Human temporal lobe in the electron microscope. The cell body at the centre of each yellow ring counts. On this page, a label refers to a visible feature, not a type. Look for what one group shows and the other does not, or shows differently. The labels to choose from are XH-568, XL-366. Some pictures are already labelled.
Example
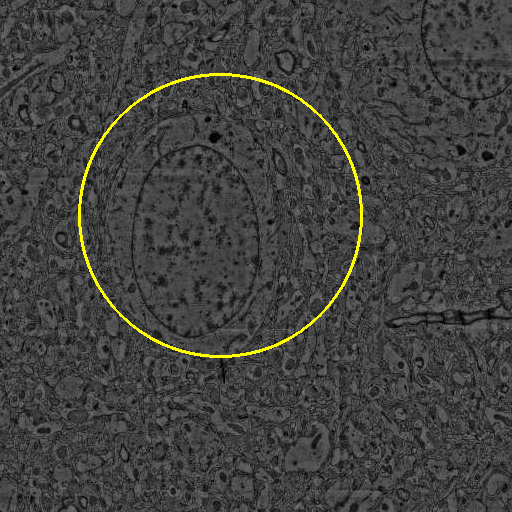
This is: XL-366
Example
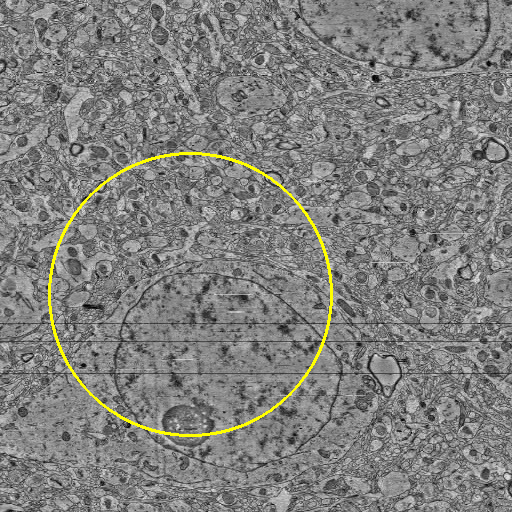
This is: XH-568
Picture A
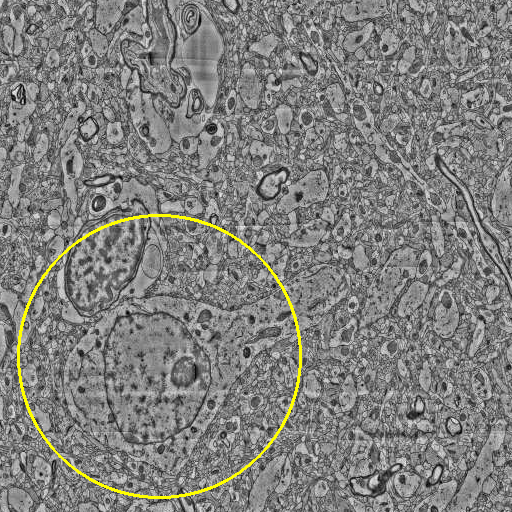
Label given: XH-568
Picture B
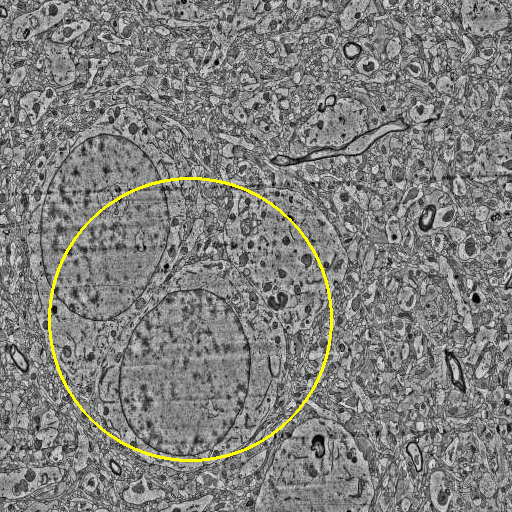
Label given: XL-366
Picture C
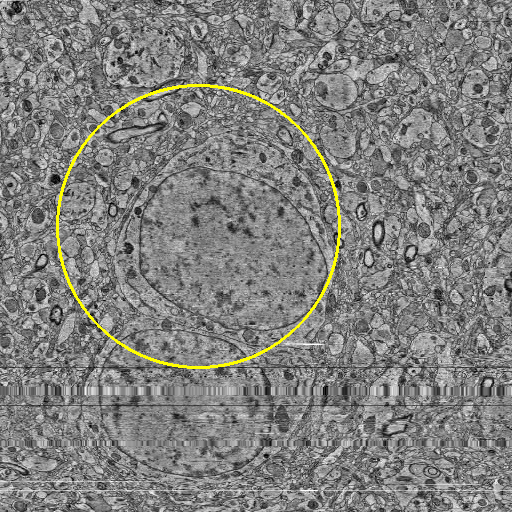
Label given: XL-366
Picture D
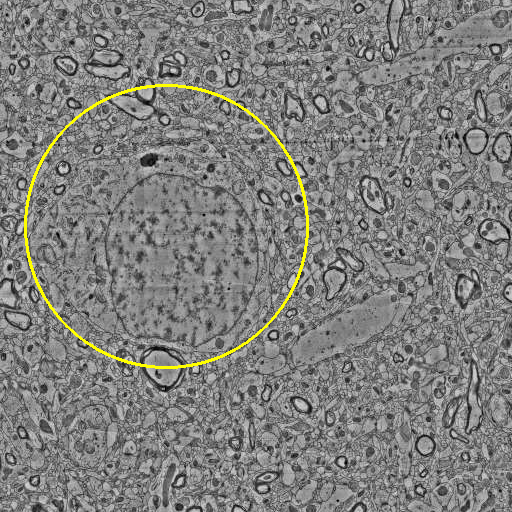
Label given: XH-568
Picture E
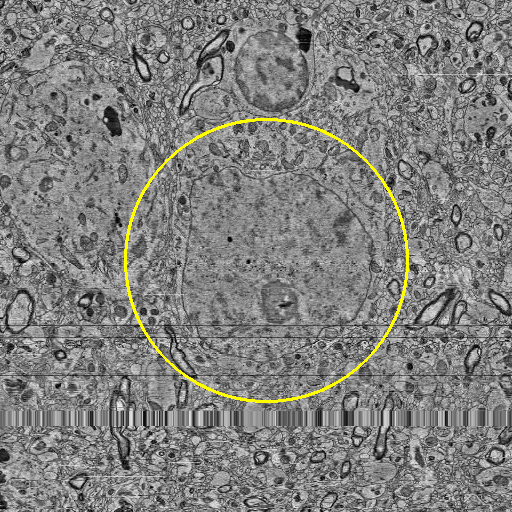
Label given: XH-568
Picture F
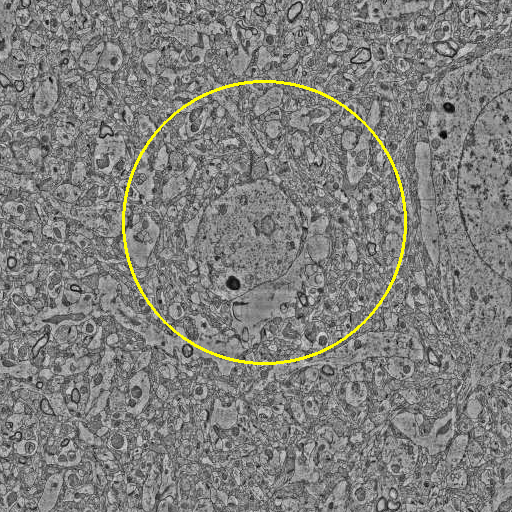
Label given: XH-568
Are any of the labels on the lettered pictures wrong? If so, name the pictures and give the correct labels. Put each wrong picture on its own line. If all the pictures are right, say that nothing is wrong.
D: XL-366, not XH-568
